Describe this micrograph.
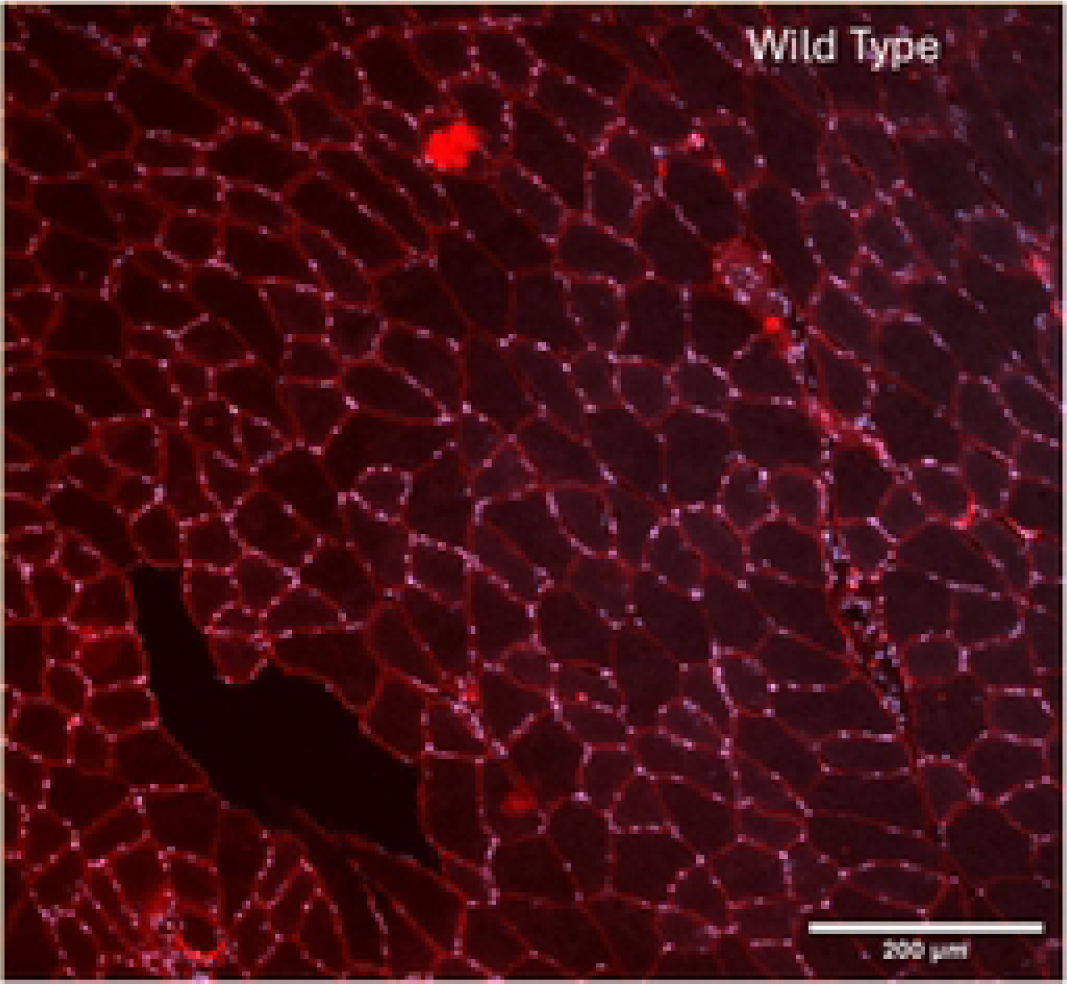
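A cross section of skeletal muscle shows tightly packed, polygonal muscle fibres of varied size, each ringed by a thin, continuous red line at its border. Blue nuclei lie along the fibre edges, at the periphery rather than in the middle, and a few bright red blobs and a dark gap interrupt the otherwise regular mosaic.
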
